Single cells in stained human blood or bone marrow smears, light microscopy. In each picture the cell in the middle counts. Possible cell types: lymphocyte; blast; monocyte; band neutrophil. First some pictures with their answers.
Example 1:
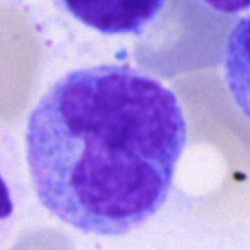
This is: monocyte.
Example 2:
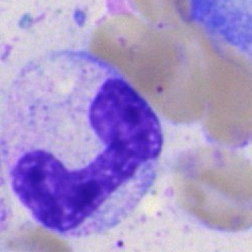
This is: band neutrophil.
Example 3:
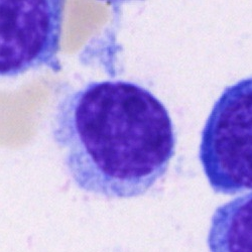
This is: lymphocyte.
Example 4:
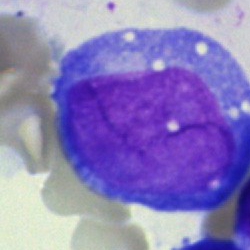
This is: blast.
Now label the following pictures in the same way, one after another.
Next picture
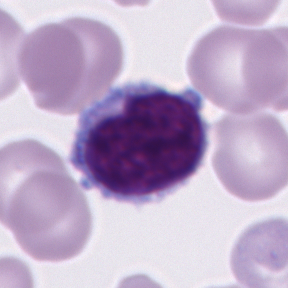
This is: lymphocyte.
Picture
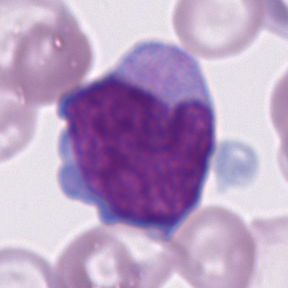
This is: blast.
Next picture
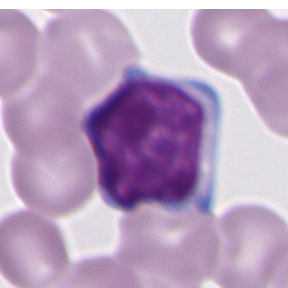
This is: lymphocyte.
